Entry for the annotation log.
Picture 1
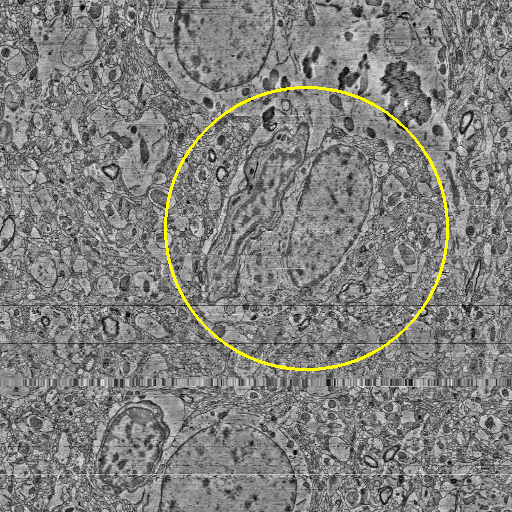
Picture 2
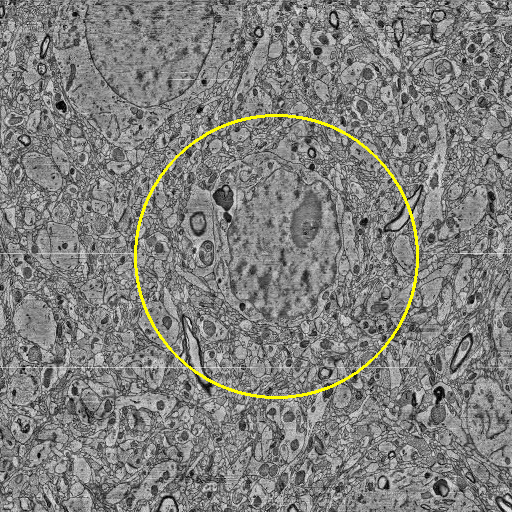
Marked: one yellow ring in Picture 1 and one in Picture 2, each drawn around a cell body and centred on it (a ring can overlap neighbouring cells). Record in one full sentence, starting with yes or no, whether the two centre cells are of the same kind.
No, the two cells are of two kinds.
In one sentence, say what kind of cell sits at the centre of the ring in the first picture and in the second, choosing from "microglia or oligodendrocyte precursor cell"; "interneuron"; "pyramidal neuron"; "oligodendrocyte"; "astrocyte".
The first picture's ringed cell is a microglial cell or oligodendrocyte precursor cell, while the second picture's is an interneuron.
